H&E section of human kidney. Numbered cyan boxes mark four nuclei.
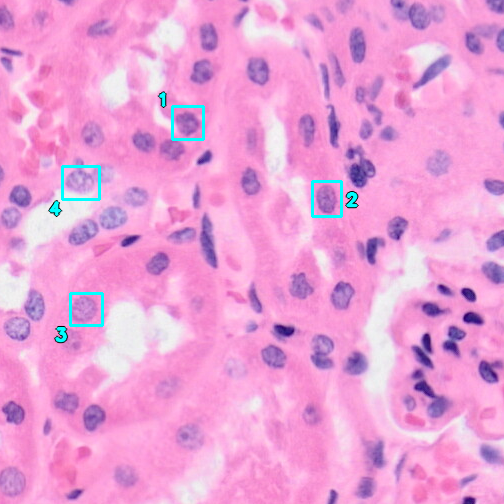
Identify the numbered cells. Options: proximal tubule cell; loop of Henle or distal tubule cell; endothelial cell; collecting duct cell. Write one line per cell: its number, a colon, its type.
1: proximal tubule cell
2: proximal tubule cell
3: proximal tubule cell
4: collecting duct cell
